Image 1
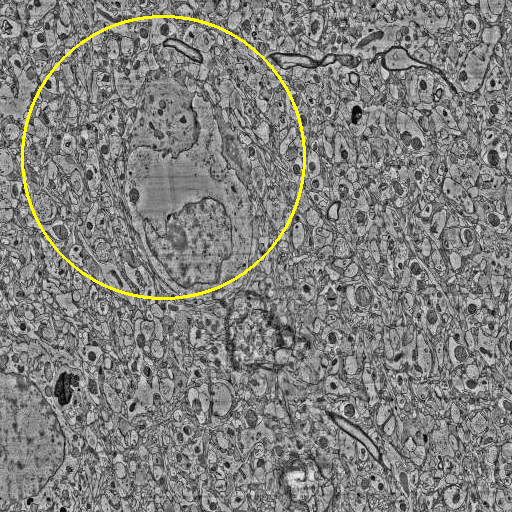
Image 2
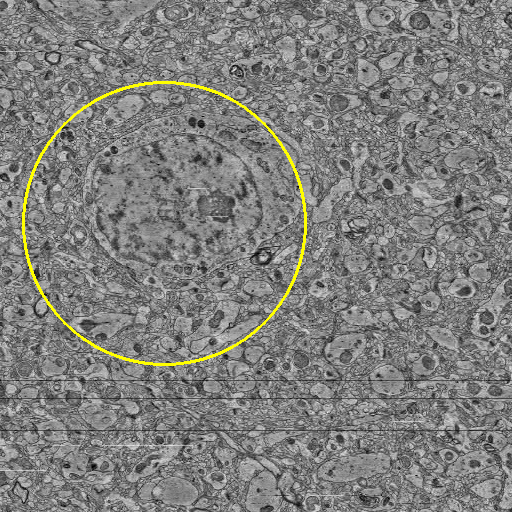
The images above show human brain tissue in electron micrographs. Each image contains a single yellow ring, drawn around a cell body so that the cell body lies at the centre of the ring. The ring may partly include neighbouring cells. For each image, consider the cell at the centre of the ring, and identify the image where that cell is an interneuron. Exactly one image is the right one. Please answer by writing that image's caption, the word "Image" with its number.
Image 2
